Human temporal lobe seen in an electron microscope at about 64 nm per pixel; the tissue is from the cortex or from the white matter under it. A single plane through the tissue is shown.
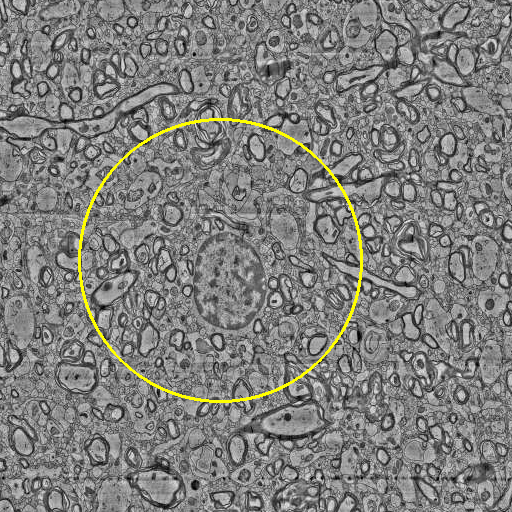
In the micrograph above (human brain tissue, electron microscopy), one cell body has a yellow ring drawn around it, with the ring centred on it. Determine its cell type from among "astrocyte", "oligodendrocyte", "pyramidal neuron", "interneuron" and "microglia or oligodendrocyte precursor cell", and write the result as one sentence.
The cell whose body is ringed is an oligodendrocyte.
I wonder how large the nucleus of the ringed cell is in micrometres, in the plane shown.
The ringed cell's nucleus is about 6 micrometres across in this plane.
